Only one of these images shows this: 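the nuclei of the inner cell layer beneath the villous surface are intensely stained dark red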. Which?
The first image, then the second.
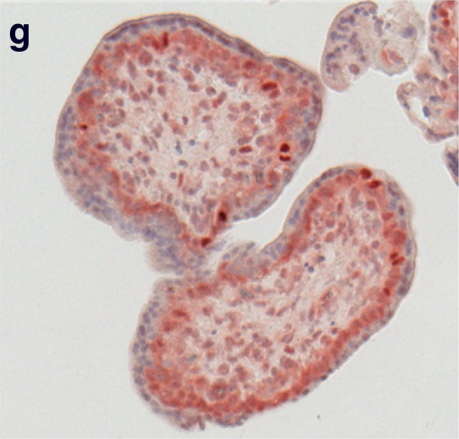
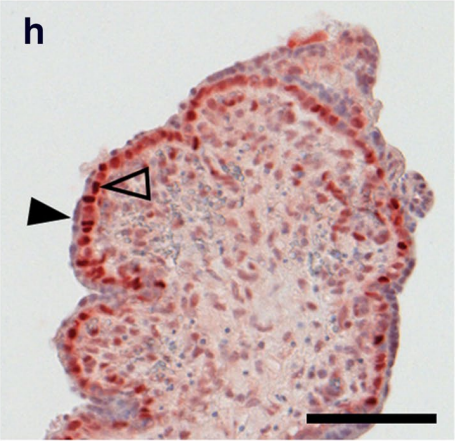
The second image.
